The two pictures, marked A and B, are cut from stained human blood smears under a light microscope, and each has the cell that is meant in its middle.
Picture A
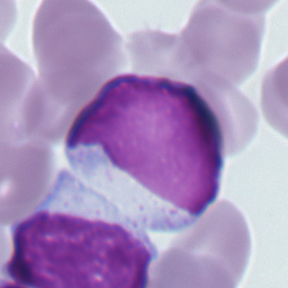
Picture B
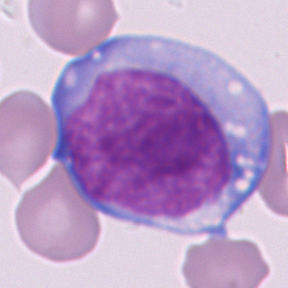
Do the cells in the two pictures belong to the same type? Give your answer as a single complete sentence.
No. Picture A shows a large granular lymphocyte, but picture B shows a myeloblast.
